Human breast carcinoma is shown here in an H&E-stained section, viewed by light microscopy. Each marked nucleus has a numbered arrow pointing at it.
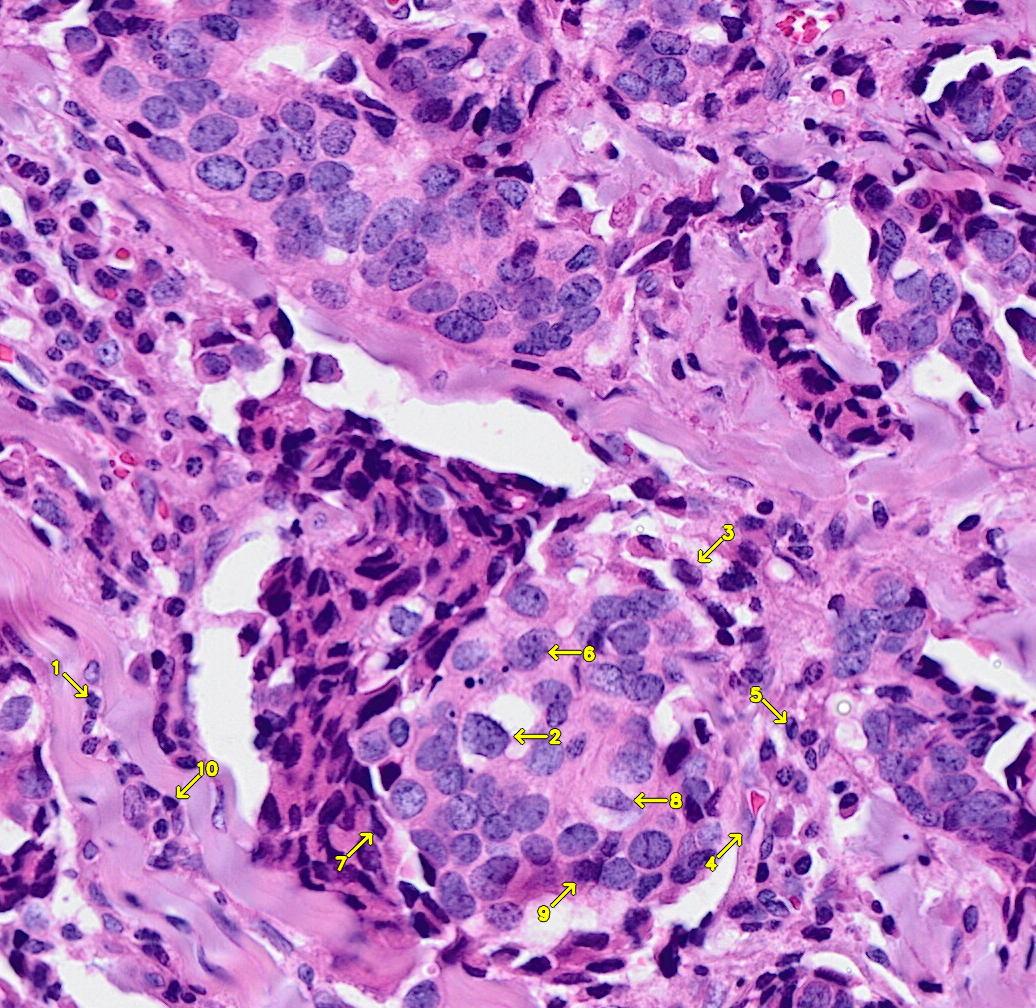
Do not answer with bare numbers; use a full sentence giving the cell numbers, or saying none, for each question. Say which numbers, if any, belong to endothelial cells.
The numbered cell that is an endothelial cell is cell 4, and it is the only one.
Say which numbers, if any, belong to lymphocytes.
Cells 1, 5 and 10 in the section are typed as lymphocytes.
